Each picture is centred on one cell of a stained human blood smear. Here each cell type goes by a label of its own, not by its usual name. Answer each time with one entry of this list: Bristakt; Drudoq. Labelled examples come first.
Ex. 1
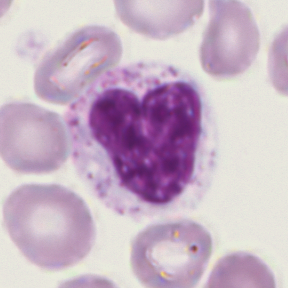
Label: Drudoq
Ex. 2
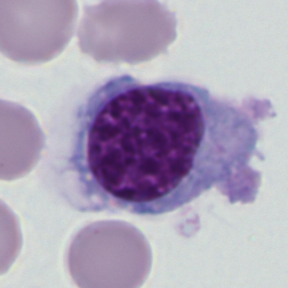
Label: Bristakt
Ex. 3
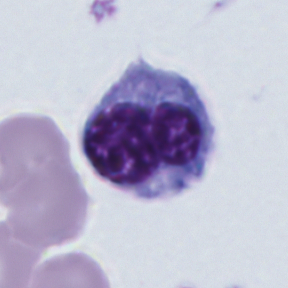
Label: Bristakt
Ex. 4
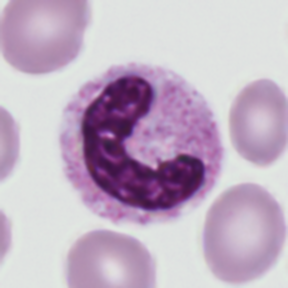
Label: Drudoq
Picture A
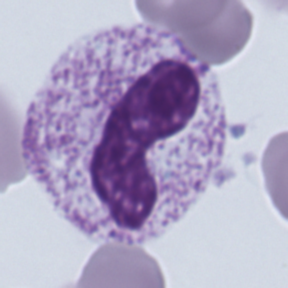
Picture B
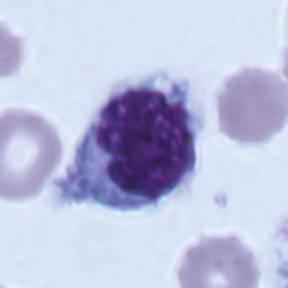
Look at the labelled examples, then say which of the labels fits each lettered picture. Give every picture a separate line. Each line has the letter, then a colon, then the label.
A: Drudoq
B: Bristakt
